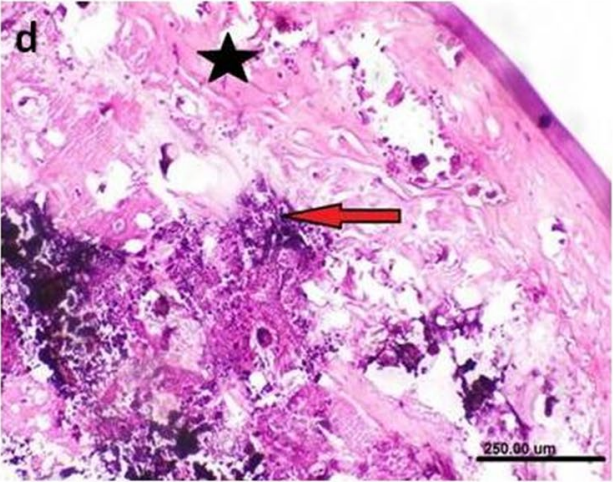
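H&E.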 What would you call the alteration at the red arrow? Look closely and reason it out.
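Large area of dark purple granular deposits. Deposits fill much of the lower left of the field. The answer: mineralization.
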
